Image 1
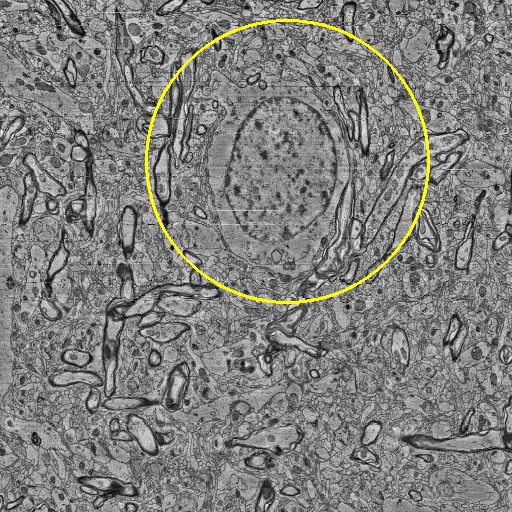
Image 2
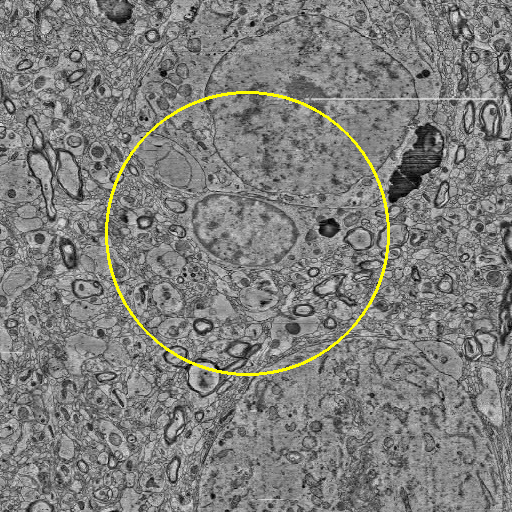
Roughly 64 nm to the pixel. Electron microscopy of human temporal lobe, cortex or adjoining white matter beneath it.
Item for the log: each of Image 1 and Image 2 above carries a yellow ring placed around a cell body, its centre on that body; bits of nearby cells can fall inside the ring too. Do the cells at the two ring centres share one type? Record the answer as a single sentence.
No, the two cells at the ring centres in Image 1 and Image 2 are of two types.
